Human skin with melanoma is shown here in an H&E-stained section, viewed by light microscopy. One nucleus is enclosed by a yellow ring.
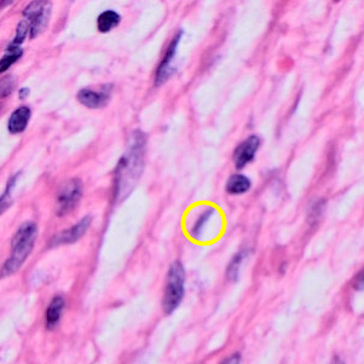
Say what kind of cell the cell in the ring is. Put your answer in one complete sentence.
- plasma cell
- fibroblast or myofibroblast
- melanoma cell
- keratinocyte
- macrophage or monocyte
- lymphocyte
On this particular slide, the cell in the ring is a fibroblast or myofibroblast.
